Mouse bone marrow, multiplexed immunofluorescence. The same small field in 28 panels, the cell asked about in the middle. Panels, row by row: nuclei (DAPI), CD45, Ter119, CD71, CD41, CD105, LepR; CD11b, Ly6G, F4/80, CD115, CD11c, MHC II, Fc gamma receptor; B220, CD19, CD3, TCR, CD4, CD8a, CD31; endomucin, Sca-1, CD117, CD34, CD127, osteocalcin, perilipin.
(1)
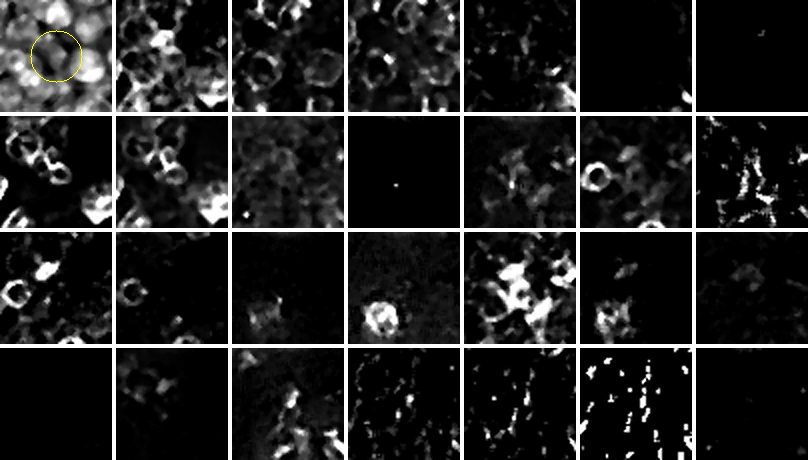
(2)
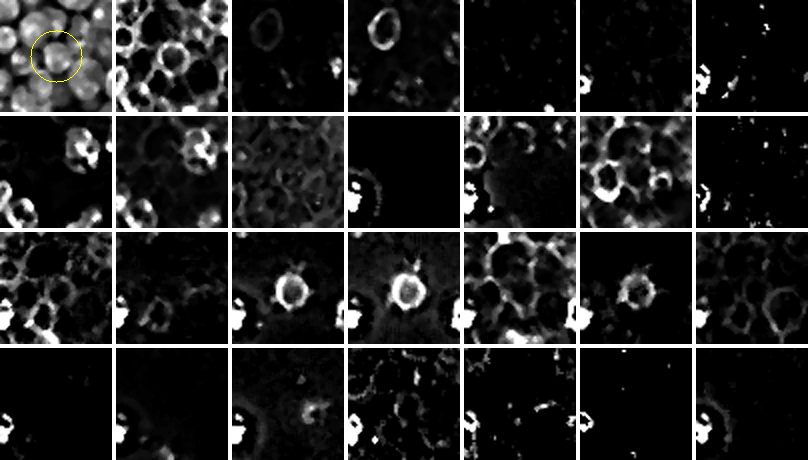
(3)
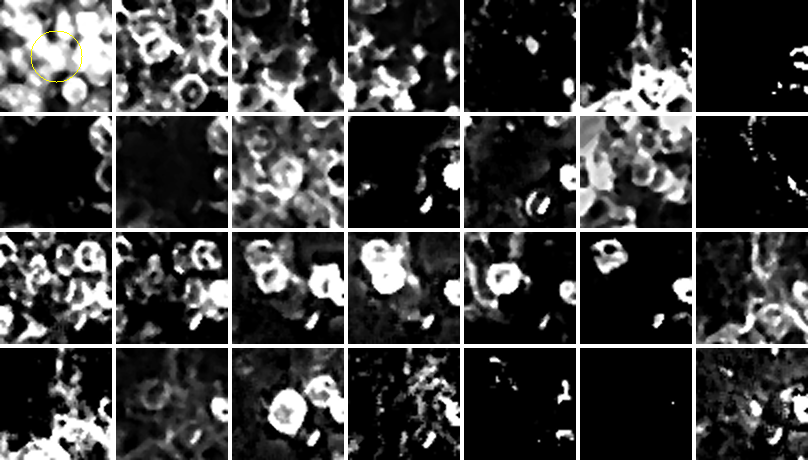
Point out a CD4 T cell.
That is picture 3.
